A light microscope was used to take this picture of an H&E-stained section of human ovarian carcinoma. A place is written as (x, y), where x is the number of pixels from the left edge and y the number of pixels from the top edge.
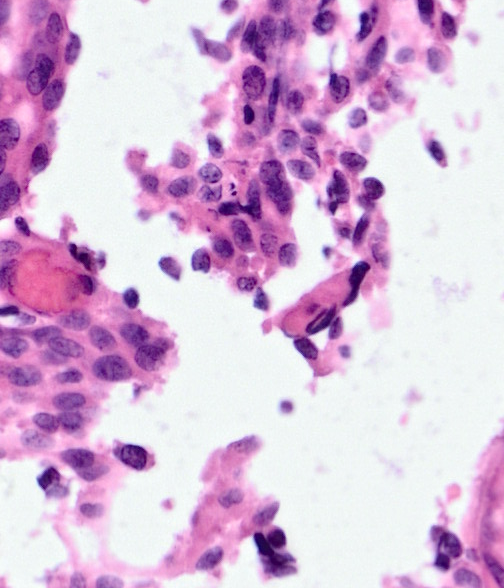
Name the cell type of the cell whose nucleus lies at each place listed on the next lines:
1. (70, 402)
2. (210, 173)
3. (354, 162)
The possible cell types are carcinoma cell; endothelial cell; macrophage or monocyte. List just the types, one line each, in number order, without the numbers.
carcinoma cell
macrophage or monocyte
carcinoma cell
